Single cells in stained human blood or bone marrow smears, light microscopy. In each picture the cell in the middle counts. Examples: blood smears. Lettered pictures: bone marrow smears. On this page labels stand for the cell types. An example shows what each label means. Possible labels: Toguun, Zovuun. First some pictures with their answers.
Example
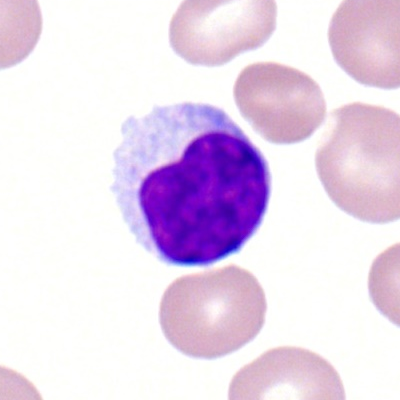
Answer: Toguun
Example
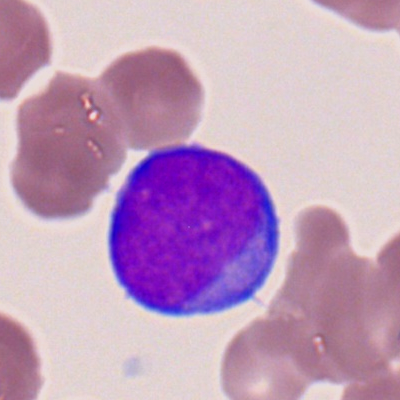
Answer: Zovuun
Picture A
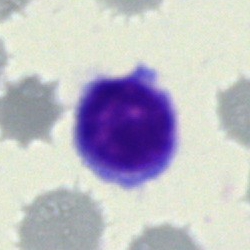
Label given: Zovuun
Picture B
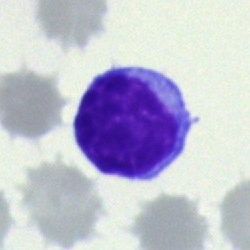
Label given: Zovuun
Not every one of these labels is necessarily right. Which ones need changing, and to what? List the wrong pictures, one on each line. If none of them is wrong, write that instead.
A should be Toguun, not Zovuun
B should be Toguun, not Zovuun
